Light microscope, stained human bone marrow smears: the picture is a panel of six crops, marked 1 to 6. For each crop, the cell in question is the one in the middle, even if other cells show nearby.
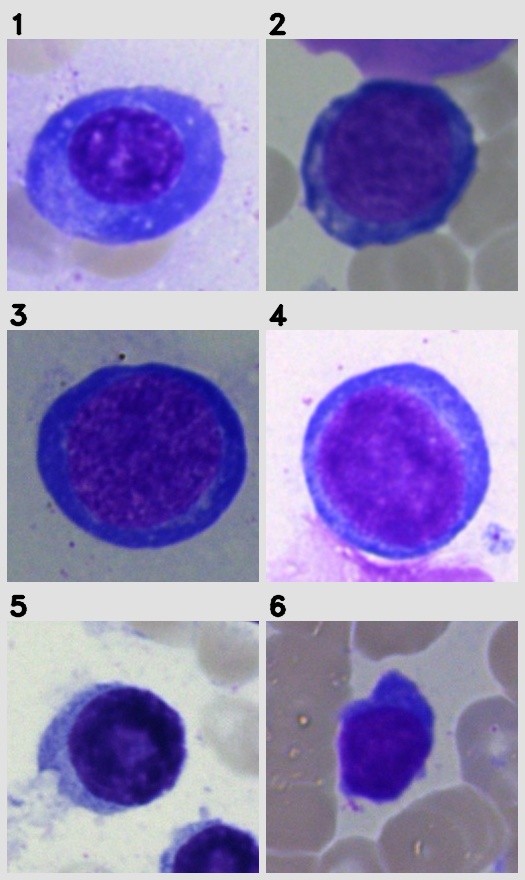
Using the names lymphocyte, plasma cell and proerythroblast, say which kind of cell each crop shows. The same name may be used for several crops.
1: plasma cell
2: proerythroblast
3: proerythroblast
4: proerythroblast
5: lymphocyte
6: plasma cell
